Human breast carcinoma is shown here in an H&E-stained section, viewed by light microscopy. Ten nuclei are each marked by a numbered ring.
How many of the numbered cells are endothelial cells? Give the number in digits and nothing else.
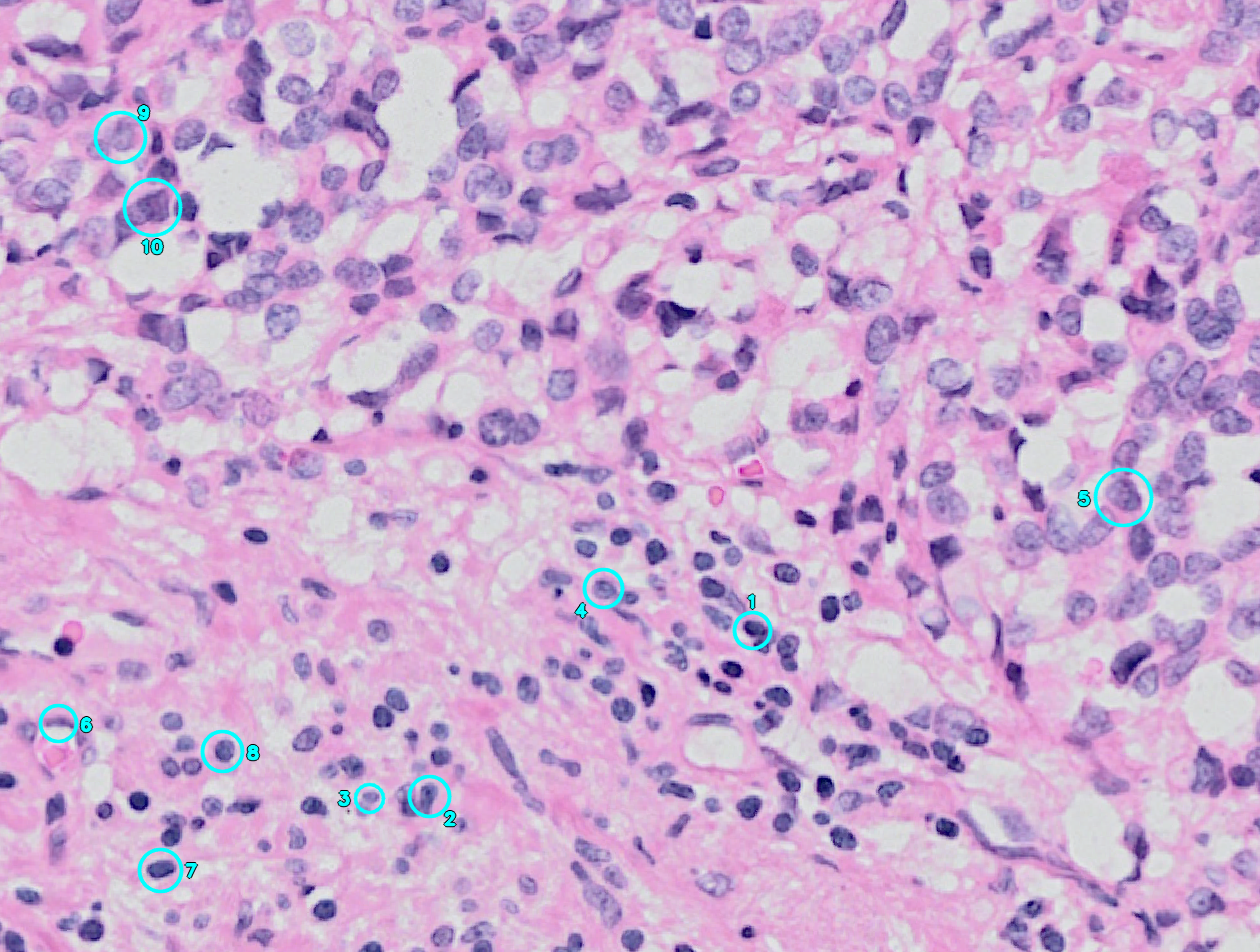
1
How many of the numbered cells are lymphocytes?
6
